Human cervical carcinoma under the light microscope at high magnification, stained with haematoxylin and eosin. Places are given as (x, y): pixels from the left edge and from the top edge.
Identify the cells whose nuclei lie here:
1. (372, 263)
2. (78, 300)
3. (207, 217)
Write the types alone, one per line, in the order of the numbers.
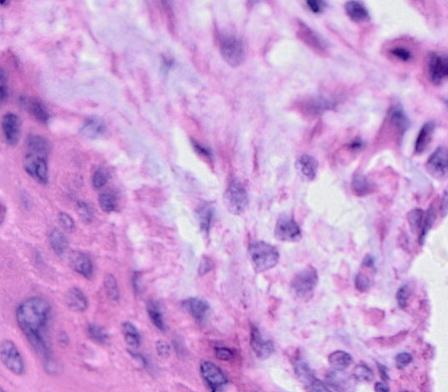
fibroblast
squamous carcinoma cell
fibroblast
